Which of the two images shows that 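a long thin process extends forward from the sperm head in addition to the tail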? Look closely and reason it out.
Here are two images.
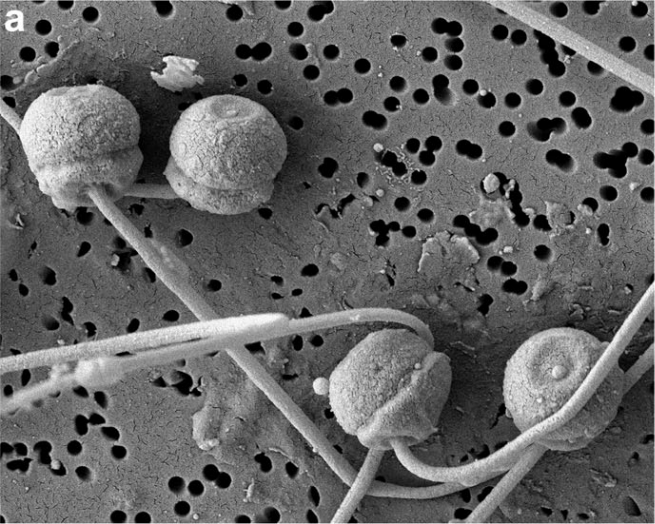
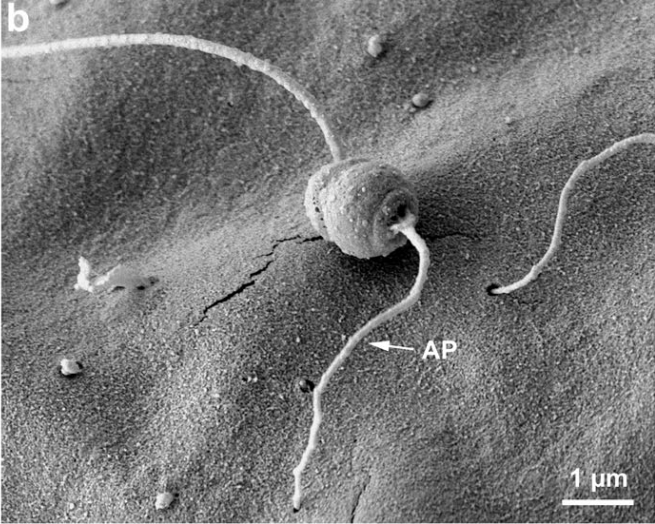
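The second image. Second image: besides the tail, a second long thread runs from the front of the head across the surface. First image: each head bears only its single tail, with no extra thread from the apex.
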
